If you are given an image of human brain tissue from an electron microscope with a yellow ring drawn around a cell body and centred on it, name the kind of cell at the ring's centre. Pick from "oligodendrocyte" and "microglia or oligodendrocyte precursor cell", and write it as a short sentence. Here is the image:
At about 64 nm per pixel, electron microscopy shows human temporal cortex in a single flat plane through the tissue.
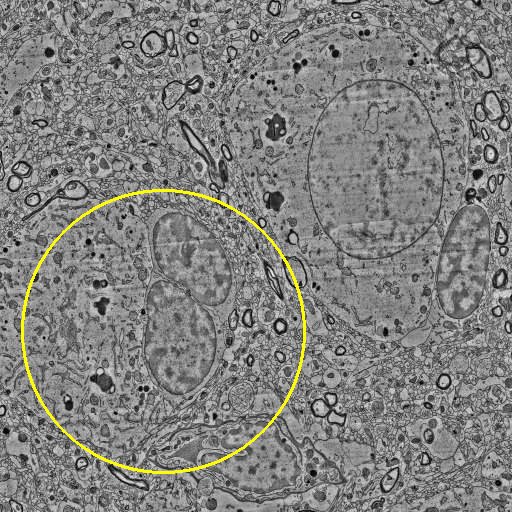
The cell at the ring's centre is an oligodendrocyte.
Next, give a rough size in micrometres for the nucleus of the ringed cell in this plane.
In this plane, about 7 micrometres in length and 5 in width.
